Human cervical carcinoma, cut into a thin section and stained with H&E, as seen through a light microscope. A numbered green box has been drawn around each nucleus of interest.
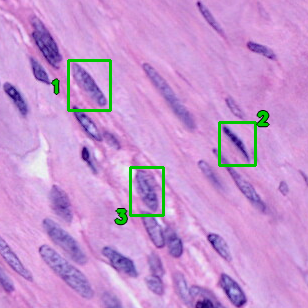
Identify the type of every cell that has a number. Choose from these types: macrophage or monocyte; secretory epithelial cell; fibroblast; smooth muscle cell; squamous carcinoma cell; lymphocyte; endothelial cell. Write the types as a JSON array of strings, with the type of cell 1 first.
["smooth muscle cell", "fibroblast", "endothelial cell"]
